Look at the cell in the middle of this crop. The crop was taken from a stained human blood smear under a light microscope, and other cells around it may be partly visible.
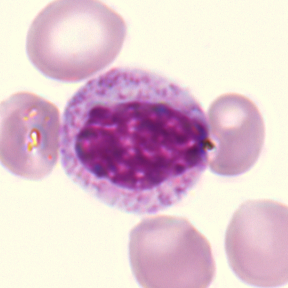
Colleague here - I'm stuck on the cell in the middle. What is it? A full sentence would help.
Where the crop is centred, there is a metamyelocyte.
